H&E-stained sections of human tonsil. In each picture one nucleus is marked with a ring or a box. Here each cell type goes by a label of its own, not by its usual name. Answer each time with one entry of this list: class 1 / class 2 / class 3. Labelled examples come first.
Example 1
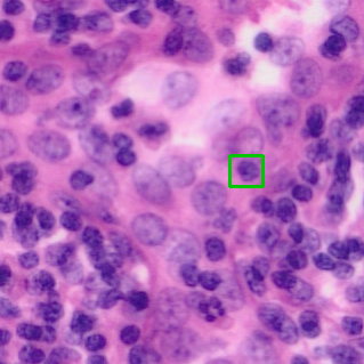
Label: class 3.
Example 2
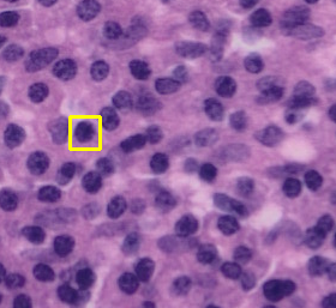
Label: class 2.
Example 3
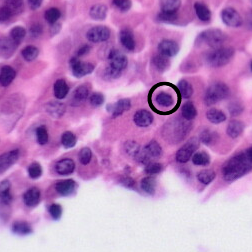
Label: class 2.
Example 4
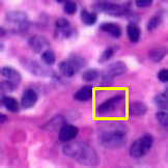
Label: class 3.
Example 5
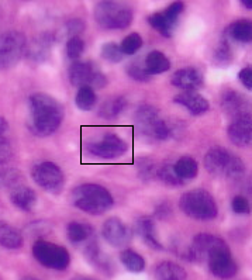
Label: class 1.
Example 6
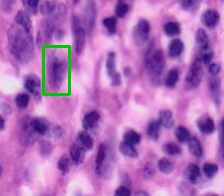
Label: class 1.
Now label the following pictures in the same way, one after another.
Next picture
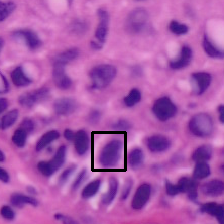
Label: class 1.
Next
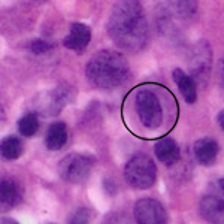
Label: class 1.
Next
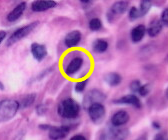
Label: class 2.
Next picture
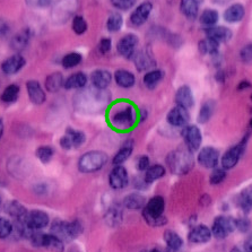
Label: class 3.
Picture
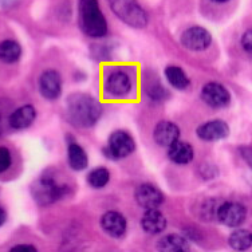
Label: class 2.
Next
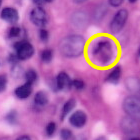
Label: class 3.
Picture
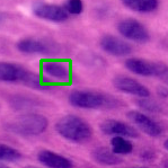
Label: class 1.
